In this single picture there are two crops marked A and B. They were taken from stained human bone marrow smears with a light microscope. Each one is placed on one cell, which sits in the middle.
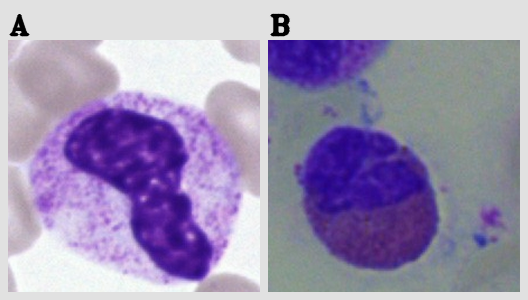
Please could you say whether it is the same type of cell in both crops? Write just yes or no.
no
